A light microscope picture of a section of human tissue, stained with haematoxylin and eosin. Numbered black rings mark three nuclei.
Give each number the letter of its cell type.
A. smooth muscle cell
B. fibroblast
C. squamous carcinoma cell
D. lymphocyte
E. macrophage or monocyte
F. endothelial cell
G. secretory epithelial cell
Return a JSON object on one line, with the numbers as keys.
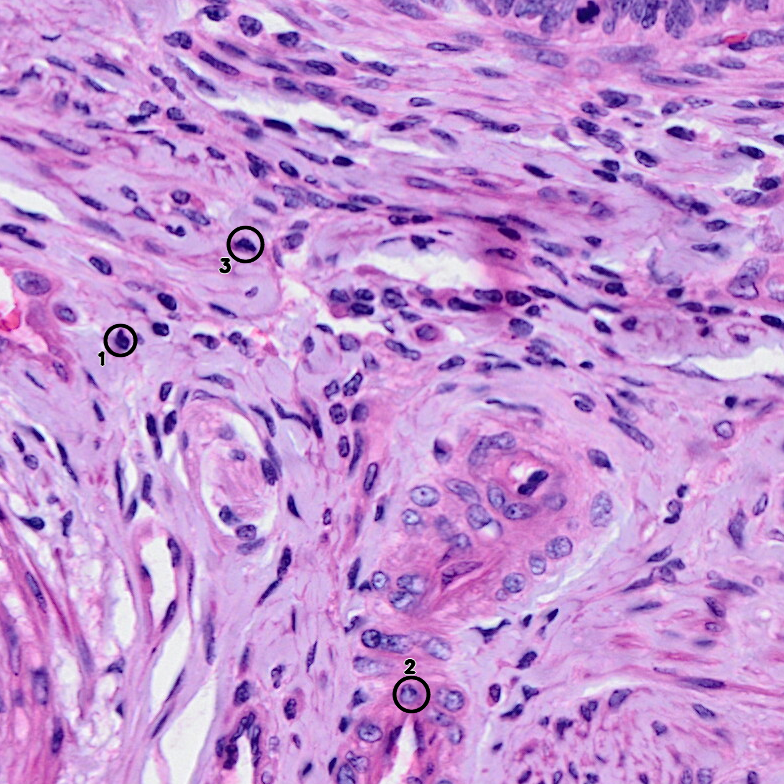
{"1": "D", "2": "A", "3": "D"}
